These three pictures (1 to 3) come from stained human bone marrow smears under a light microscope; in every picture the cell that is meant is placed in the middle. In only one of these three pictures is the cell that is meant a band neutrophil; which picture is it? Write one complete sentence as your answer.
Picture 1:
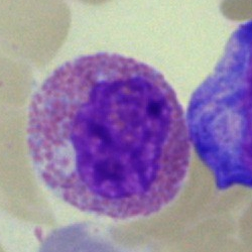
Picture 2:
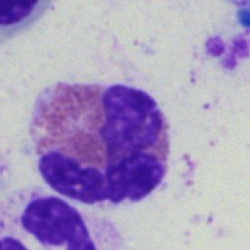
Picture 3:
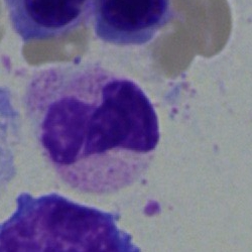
Picture 3 is the one that shows the band neutrophil.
